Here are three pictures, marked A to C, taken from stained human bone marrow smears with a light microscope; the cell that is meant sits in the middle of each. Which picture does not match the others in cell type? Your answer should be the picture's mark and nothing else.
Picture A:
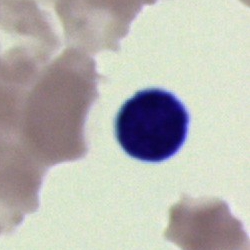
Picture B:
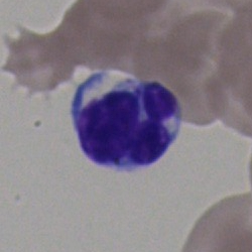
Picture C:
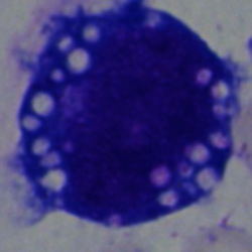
C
